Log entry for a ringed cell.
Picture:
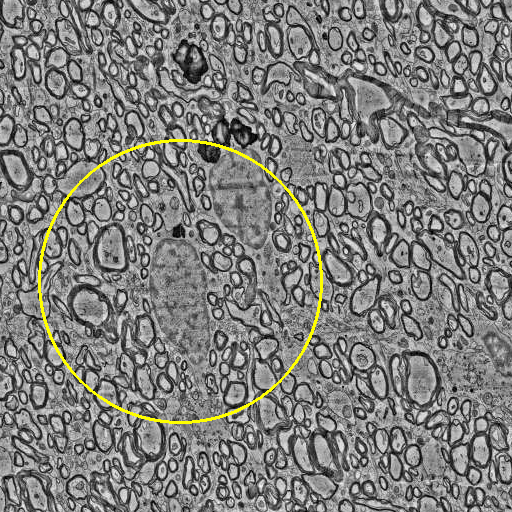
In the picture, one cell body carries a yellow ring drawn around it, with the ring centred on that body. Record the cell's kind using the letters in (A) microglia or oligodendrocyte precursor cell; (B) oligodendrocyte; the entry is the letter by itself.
B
